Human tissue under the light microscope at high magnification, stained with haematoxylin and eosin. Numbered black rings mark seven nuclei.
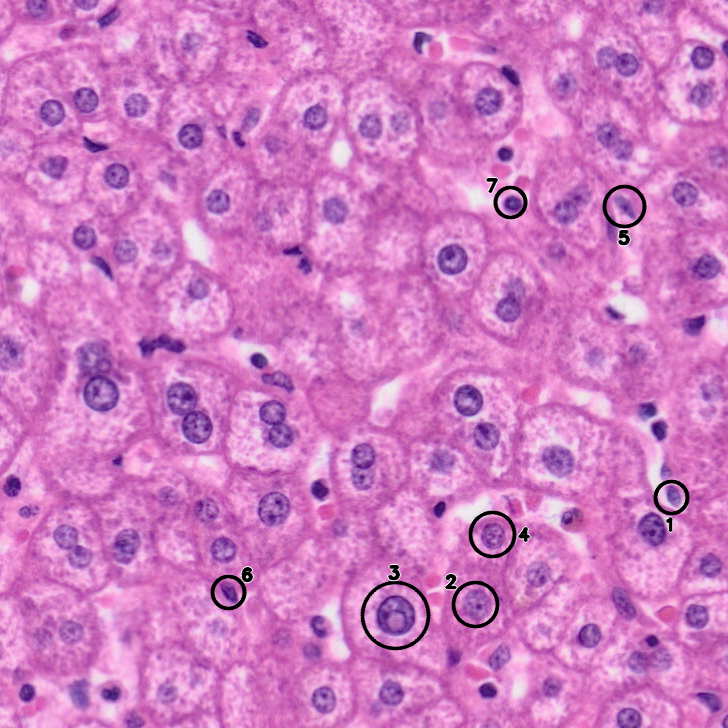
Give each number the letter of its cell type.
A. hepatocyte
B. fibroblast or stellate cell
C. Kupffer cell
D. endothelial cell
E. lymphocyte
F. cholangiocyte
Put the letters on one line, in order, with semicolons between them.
E; A; A; A; D; B; E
